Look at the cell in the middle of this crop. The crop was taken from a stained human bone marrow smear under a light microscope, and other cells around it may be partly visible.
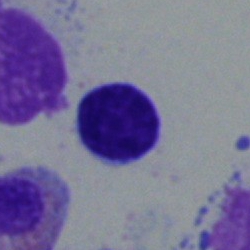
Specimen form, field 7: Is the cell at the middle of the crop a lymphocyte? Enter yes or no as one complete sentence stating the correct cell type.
Yes, the cell at the middle of the frame is a lymphocyte.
